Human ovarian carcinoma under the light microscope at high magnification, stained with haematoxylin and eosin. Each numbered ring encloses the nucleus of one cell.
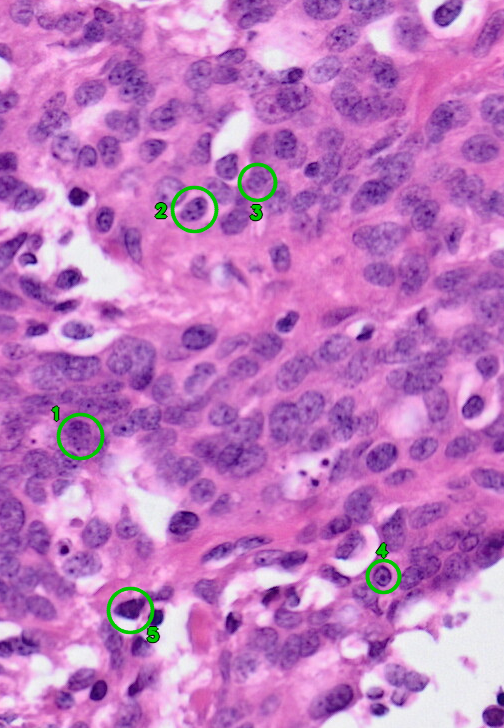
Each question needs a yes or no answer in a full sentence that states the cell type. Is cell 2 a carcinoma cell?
No, cell 2 is not a carcinoma cell; it is a macrophage or monocyte.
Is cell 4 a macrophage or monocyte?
Yes, in this section the cell with number 4 is a macrophage or monocyte.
